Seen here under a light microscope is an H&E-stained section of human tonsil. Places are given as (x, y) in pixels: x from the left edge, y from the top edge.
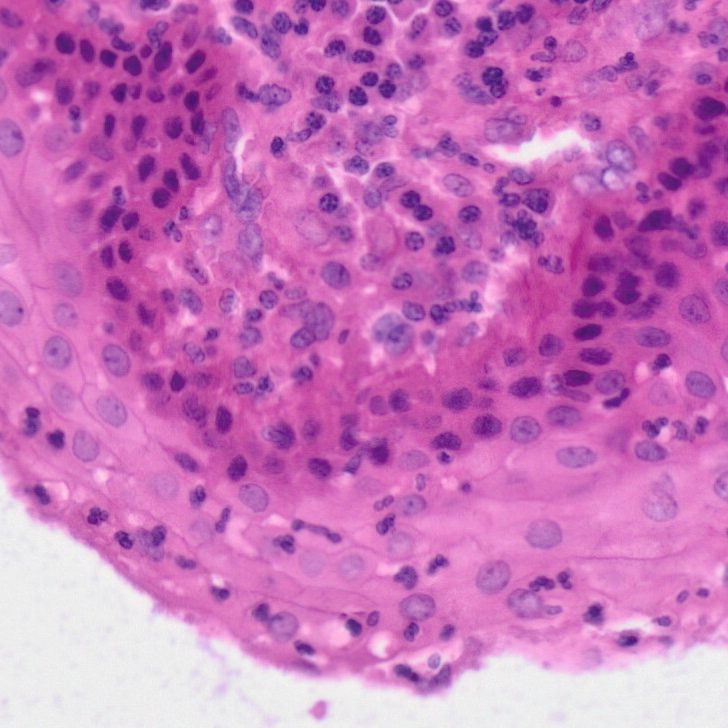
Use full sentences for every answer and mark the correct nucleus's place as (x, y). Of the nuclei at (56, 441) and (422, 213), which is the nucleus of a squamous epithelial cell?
Of the pair, the nucleus located at (56, 441) belongs to a squamous epithelial cell.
